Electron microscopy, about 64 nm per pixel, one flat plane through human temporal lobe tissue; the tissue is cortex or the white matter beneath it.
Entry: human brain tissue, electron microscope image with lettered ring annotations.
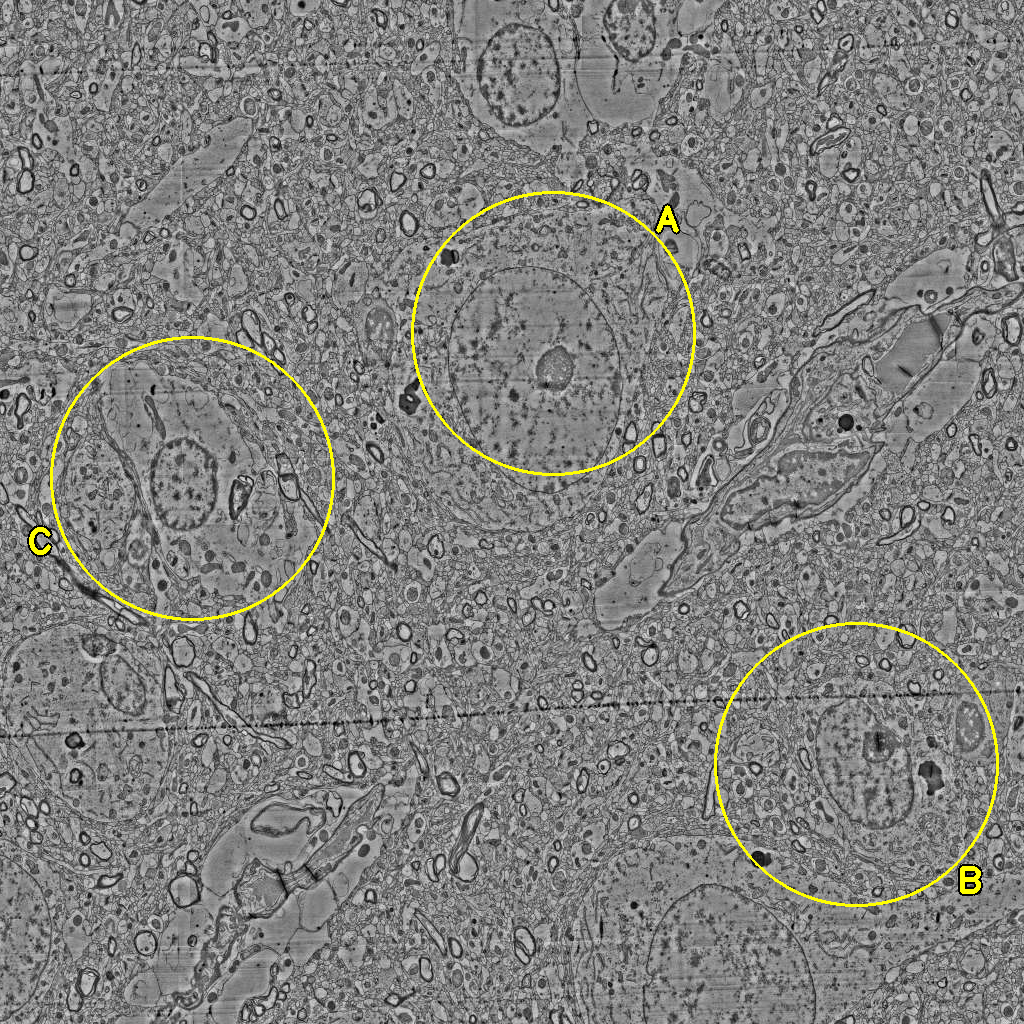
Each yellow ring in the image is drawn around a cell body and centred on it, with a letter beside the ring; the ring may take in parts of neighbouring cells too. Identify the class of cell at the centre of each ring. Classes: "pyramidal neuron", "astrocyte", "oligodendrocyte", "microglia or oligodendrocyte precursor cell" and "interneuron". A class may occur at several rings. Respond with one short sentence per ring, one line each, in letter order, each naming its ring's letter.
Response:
Ring A holds a pyramidal neuron at its centre.
Ring B holds an interneuron at its centre.
Ring C holds an astrocyte at its centre.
